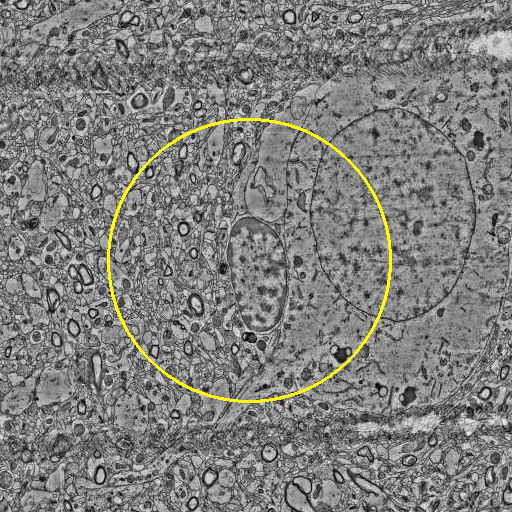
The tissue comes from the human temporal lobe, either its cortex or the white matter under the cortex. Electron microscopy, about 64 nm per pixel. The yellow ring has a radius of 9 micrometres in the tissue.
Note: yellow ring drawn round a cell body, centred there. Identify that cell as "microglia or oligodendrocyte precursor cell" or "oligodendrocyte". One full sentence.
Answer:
The cell in the middle of the ring is a microglial cell or oligodendrocyte precursor cell.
